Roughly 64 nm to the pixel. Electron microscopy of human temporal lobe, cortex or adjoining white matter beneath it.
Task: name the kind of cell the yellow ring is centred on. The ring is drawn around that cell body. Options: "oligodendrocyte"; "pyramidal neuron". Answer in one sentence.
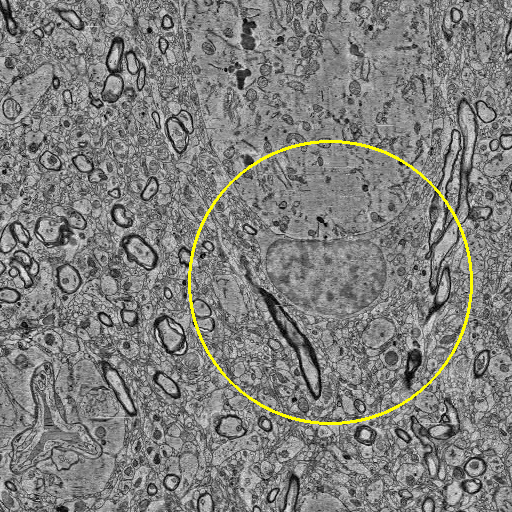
This cell body belongs to an oligodendrocyte.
